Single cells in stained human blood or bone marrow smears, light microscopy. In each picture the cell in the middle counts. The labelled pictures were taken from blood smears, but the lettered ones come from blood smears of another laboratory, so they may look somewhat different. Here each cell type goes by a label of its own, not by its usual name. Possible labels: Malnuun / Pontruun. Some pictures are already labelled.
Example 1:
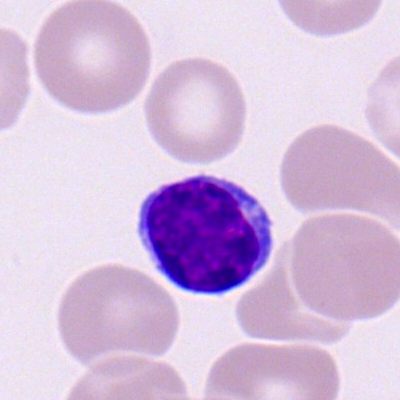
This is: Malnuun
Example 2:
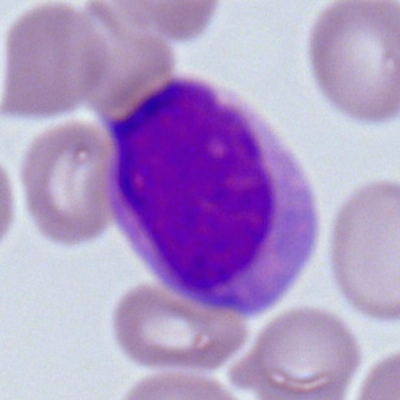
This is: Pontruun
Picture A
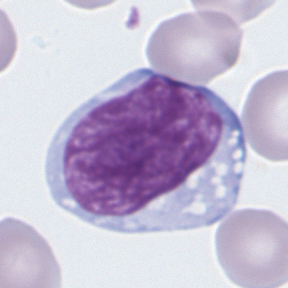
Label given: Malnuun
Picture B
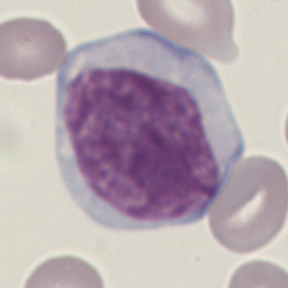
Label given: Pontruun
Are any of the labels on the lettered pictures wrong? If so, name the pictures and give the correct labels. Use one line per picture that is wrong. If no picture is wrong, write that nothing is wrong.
A: Pontruun, not Malnuun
